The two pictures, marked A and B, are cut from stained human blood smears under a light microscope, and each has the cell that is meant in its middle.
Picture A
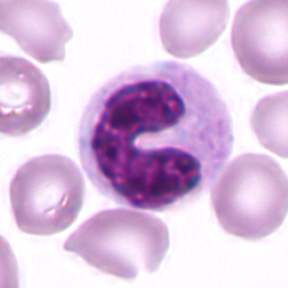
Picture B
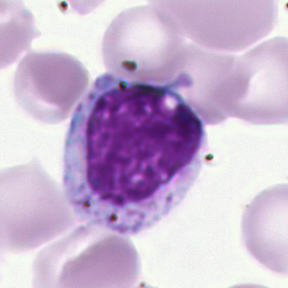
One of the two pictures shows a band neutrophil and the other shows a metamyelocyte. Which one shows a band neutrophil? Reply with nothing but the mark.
A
